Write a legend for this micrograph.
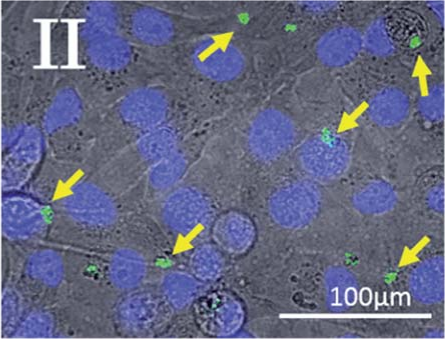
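Blue nuclei, oval to rounded and somewhat varied in size, are scattered across a grey field in which thin cell outlines and a few spindle-like edges can be traced. Small bright green puncta sit beside several nuclei, in the cytoplasm next to the nuclear edge, and yellow arrows point to them. Small dark granules are scattered between some cells.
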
